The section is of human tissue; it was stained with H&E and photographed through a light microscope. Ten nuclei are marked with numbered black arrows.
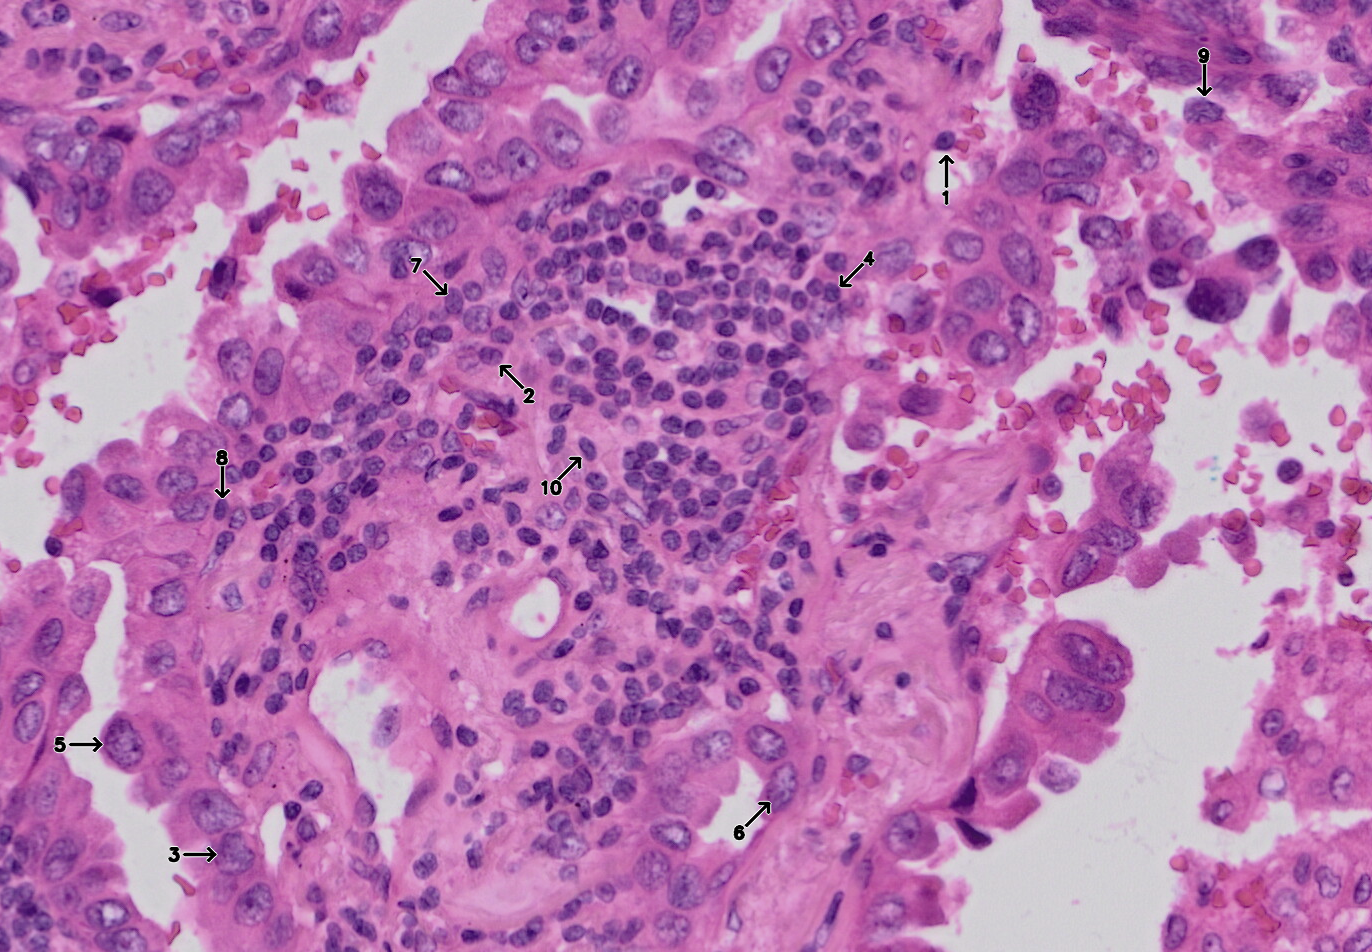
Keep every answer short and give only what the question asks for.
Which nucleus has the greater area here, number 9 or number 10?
9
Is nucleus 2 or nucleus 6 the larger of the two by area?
6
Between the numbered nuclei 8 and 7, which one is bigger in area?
7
